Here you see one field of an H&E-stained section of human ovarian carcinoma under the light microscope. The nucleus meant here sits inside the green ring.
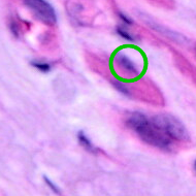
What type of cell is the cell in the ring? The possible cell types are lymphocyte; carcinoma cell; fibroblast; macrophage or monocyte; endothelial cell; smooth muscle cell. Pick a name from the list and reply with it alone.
smooth muscle cell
